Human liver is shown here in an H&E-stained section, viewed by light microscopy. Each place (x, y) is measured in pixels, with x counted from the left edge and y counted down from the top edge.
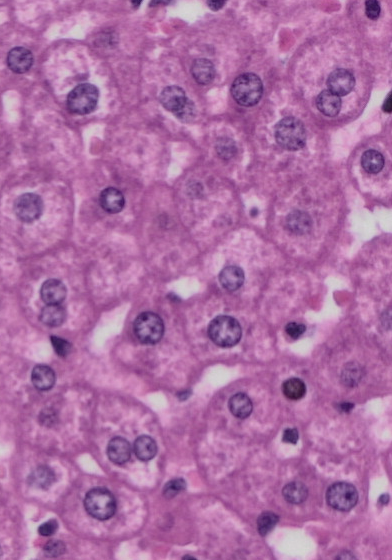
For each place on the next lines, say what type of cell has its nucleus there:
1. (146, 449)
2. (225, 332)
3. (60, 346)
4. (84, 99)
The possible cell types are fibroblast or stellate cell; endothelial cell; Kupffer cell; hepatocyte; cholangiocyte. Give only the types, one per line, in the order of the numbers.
hepatocyte
hepatocyte
fibroblast or stellate cell
hepatocyte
